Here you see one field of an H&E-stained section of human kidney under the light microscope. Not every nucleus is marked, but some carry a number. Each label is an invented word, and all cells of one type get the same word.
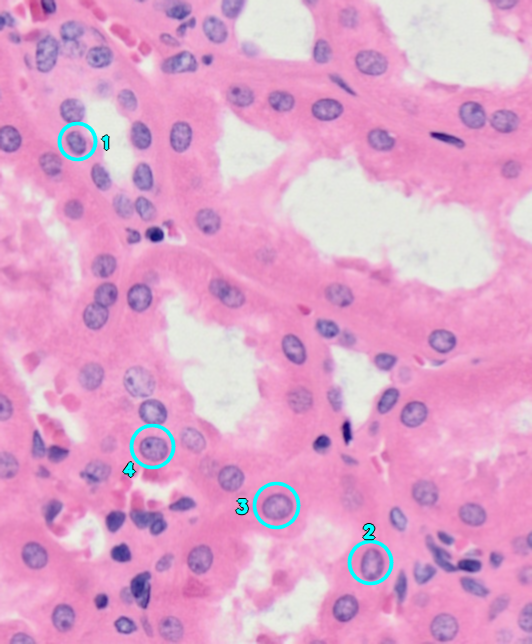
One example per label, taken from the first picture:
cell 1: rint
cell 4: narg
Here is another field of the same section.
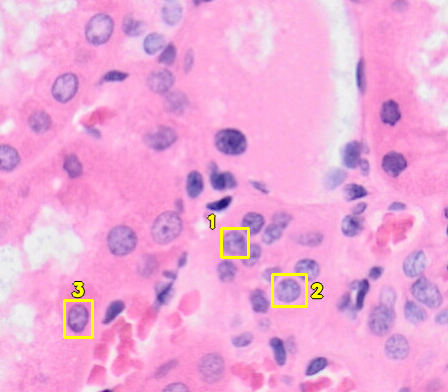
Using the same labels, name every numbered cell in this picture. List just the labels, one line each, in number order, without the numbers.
rint
rint
narg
